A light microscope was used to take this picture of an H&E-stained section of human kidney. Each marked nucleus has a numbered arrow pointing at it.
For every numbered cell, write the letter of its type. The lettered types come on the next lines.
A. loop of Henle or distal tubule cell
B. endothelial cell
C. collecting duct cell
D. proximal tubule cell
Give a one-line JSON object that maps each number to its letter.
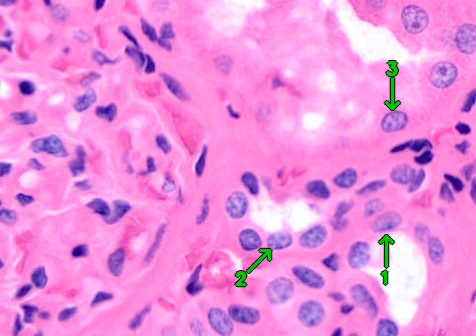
{"1": "C", "2": "C", "3": "D"}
